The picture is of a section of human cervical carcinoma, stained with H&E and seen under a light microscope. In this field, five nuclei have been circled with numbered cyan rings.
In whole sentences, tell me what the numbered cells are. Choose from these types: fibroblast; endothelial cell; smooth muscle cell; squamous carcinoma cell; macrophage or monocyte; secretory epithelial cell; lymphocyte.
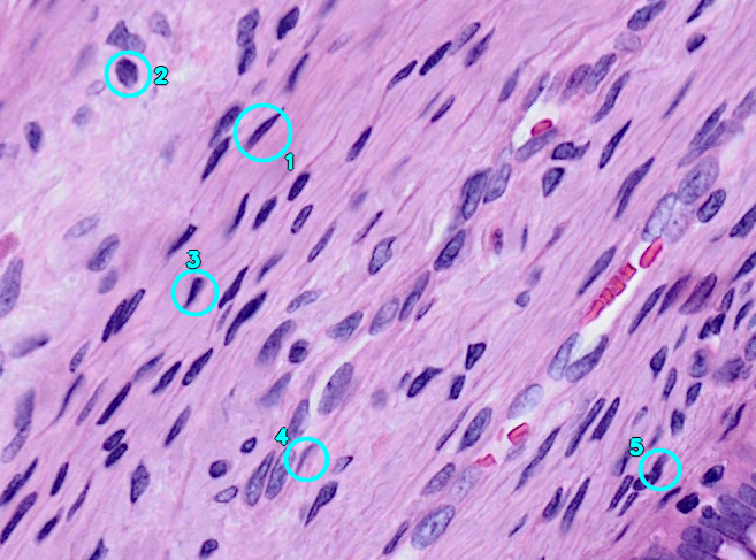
Cell 1 is a fibroblast, cell 2 is a lymphocyte, cell 3 is a fibroblast, cell 4 is an endothelial cell and cell 5 is a fibroblast.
